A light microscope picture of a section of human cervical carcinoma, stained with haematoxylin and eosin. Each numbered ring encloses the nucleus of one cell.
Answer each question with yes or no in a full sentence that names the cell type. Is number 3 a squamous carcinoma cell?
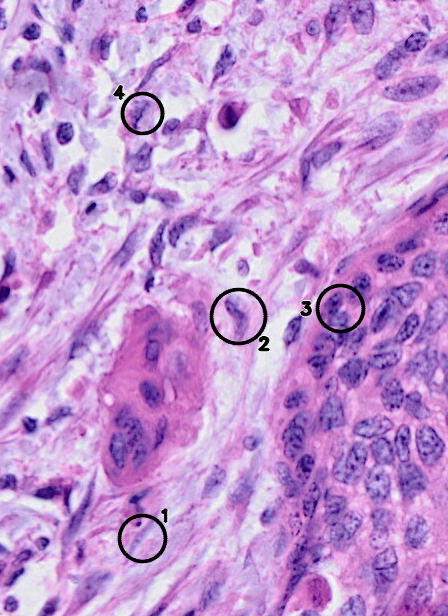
Yes, that is right: the cell labelled 3 is a squamous carcinoma cell.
